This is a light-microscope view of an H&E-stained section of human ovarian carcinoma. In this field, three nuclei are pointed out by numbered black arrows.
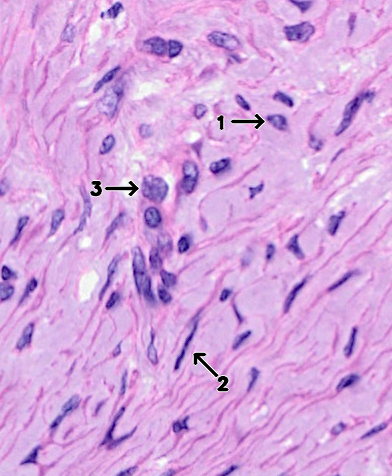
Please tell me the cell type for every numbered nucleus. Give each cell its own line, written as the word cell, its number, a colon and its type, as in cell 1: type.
cell 1: fibroblast
cell 2: fibroblast
cell 3: endothelial cell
